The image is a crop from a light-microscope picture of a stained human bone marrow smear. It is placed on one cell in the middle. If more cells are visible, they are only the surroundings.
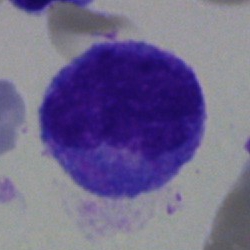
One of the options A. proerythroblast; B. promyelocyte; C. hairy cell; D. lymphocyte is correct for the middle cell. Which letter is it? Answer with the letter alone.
B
